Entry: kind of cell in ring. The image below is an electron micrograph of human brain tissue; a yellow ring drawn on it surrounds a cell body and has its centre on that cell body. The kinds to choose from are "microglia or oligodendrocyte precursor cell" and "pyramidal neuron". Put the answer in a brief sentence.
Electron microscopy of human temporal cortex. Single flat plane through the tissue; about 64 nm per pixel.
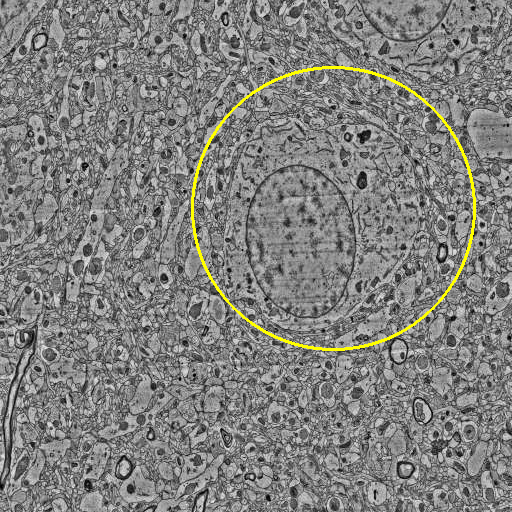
The ring has been drawn around a pyramidal neuron.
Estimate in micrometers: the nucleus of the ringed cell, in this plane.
In this plane, about 10 micrometres in length and 7 in width.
